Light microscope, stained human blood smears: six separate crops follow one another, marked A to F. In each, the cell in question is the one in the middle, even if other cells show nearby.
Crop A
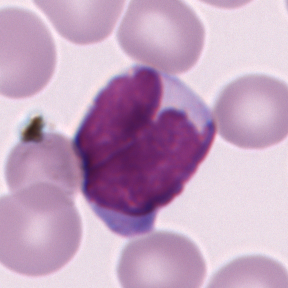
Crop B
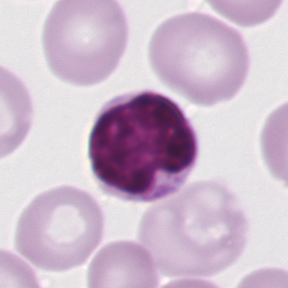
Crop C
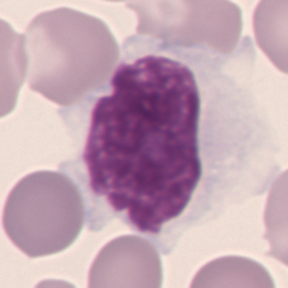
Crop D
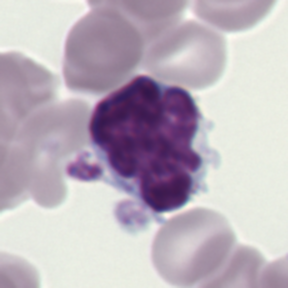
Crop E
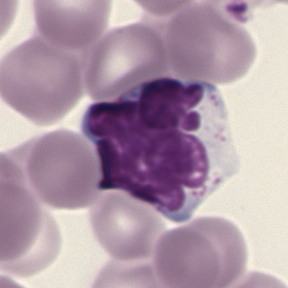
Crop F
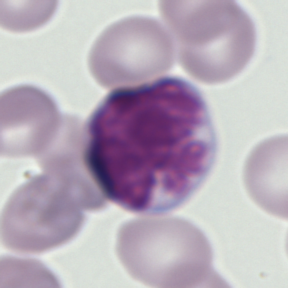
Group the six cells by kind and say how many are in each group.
large granular lymphocyte: 5
hairy cell: 1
